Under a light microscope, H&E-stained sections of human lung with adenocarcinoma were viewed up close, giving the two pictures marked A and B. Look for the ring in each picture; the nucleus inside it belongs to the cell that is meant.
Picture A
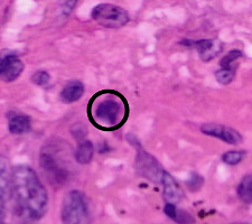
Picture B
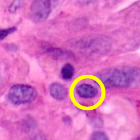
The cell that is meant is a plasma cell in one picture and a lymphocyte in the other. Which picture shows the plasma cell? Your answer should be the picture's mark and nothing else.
A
